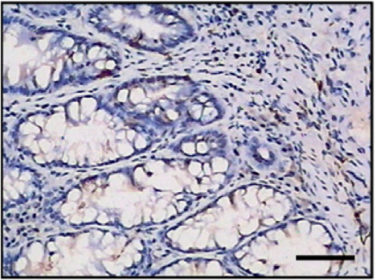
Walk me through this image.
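Colonic mucosa with crypts cut in cross and oblique section, each ring lined by a single layer of columnar epithelial cells among which many goblet cells stand out as pale, clear, rounded mucin vacuoles. The epithelial nuclei are small, dark blue and crowded toward the base of the cells at the outer rim of each crypt. Between the crypts lies a lamina propria of loosely arranged cells with elongated to oval blue nuclei.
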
